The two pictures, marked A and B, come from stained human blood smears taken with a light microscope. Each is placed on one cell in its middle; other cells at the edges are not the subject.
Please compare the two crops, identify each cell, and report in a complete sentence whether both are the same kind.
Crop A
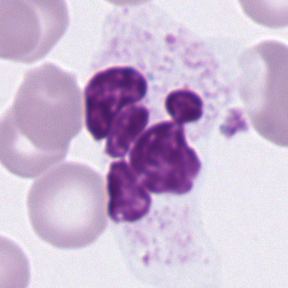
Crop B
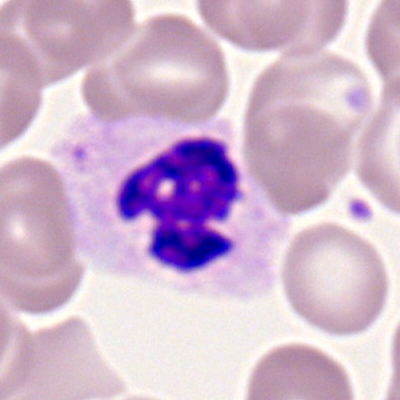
Yes, both crops show segmented neutrophils, one in each.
